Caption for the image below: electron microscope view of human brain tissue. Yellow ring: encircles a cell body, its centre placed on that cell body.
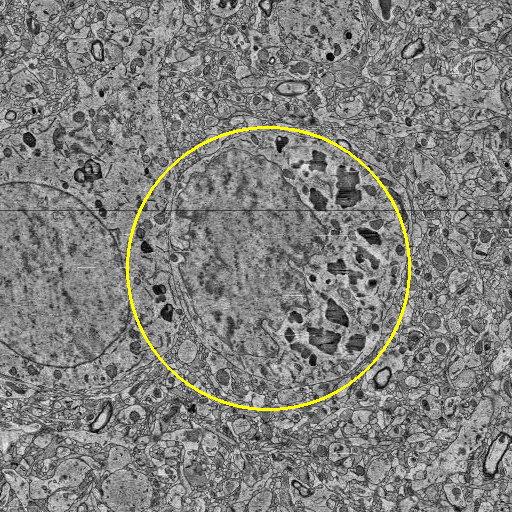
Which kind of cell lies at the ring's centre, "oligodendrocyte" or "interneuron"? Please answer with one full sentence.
The picture shows an interneuron at the centre of the yellow ring.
